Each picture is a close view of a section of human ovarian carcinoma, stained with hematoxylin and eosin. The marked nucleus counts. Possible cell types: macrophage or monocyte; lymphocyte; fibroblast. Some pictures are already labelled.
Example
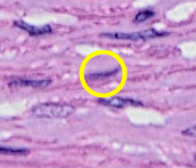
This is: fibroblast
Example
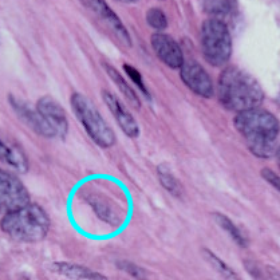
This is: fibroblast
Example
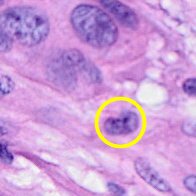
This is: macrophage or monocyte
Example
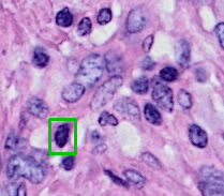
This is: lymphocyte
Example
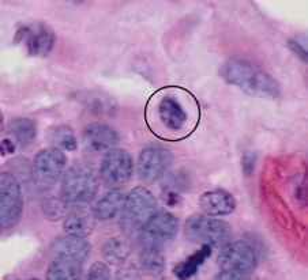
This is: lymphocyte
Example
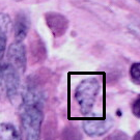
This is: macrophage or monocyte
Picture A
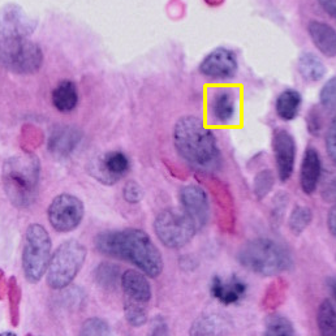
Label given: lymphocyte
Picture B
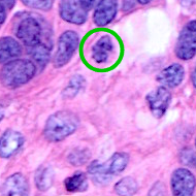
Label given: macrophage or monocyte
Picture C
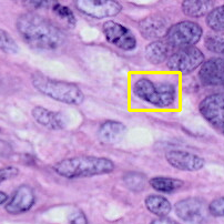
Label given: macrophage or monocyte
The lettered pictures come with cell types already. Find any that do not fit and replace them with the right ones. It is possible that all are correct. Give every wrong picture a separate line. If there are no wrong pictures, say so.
Every label is right.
